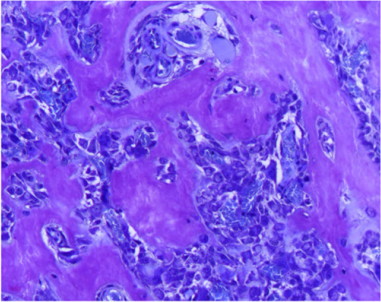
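Here the tumor is bony tissue: irregular pink-purple bands of matrix, with single cells, osteocytes, sitting inside them. The spaces between the bands are packed with many cells with dark purple nuclei.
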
